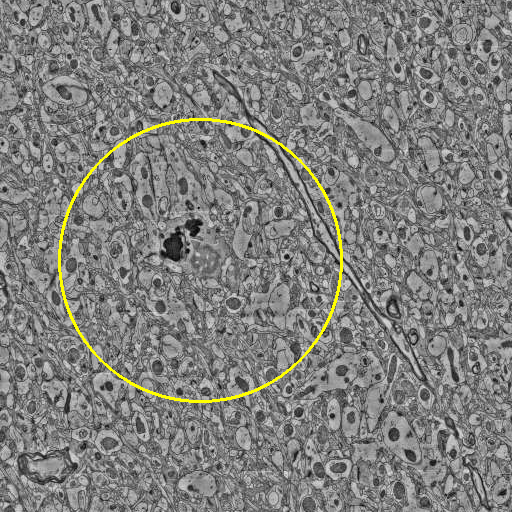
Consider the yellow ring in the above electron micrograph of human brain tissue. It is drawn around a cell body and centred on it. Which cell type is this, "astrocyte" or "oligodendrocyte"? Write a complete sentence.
The cell in question is an oligodendrocyte.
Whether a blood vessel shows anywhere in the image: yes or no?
No, none is visible.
